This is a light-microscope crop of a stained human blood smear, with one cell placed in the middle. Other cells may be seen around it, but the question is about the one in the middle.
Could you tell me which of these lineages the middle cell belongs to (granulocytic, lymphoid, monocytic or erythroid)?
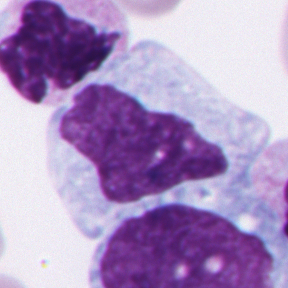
monocytic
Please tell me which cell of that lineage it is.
monocyte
